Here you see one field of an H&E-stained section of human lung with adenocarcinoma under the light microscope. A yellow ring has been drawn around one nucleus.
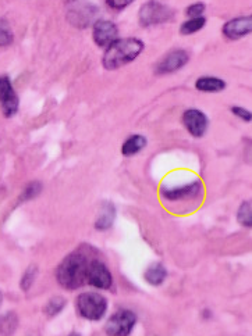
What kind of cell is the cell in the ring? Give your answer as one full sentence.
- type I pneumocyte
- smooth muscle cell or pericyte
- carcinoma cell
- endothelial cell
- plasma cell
Recorded by type, the cell in the ring is an endothelial cell.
